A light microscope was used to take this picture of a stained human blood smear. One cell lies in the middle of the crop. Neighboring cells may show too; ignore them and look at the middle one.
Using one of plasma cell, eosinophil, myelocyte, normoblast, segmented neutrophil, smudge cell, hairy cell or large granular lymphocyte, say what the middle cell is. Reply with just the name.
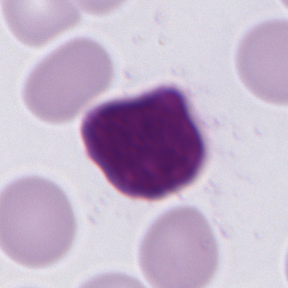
smudge cell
